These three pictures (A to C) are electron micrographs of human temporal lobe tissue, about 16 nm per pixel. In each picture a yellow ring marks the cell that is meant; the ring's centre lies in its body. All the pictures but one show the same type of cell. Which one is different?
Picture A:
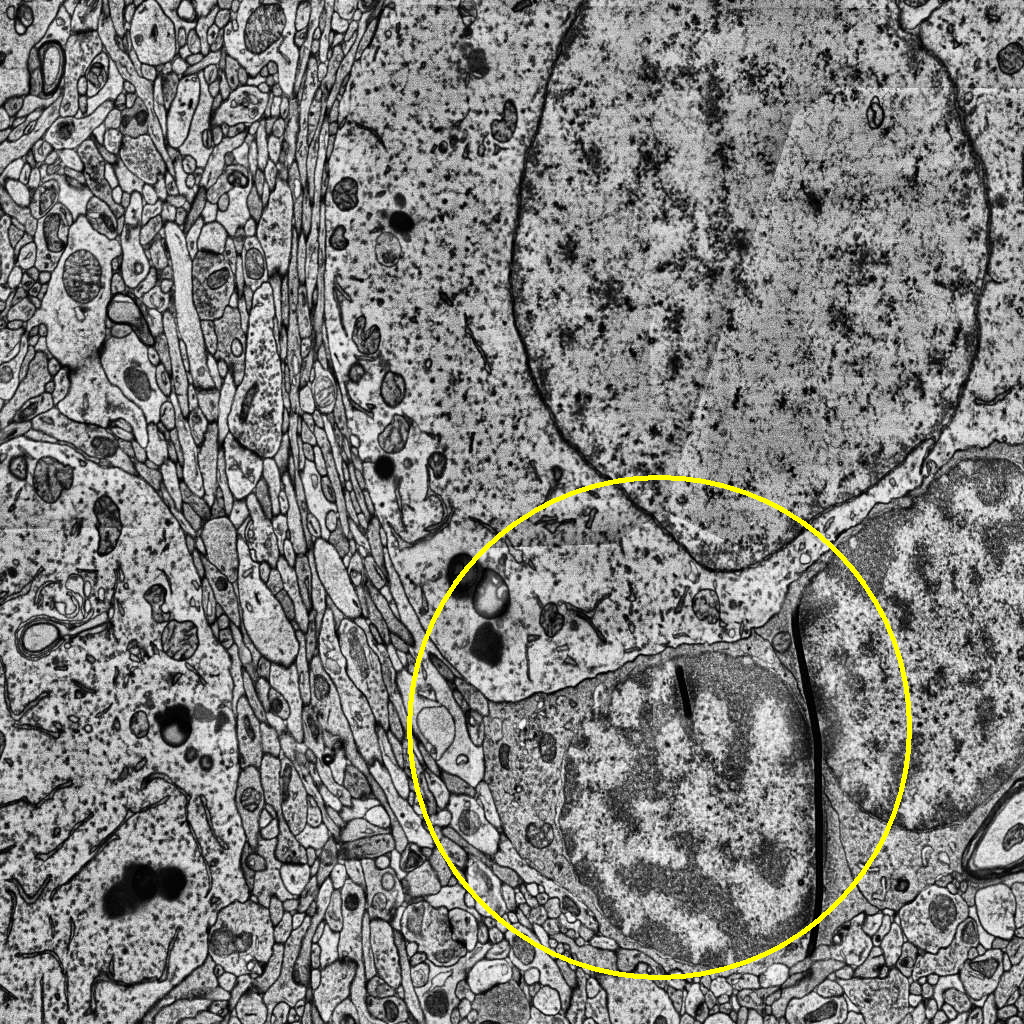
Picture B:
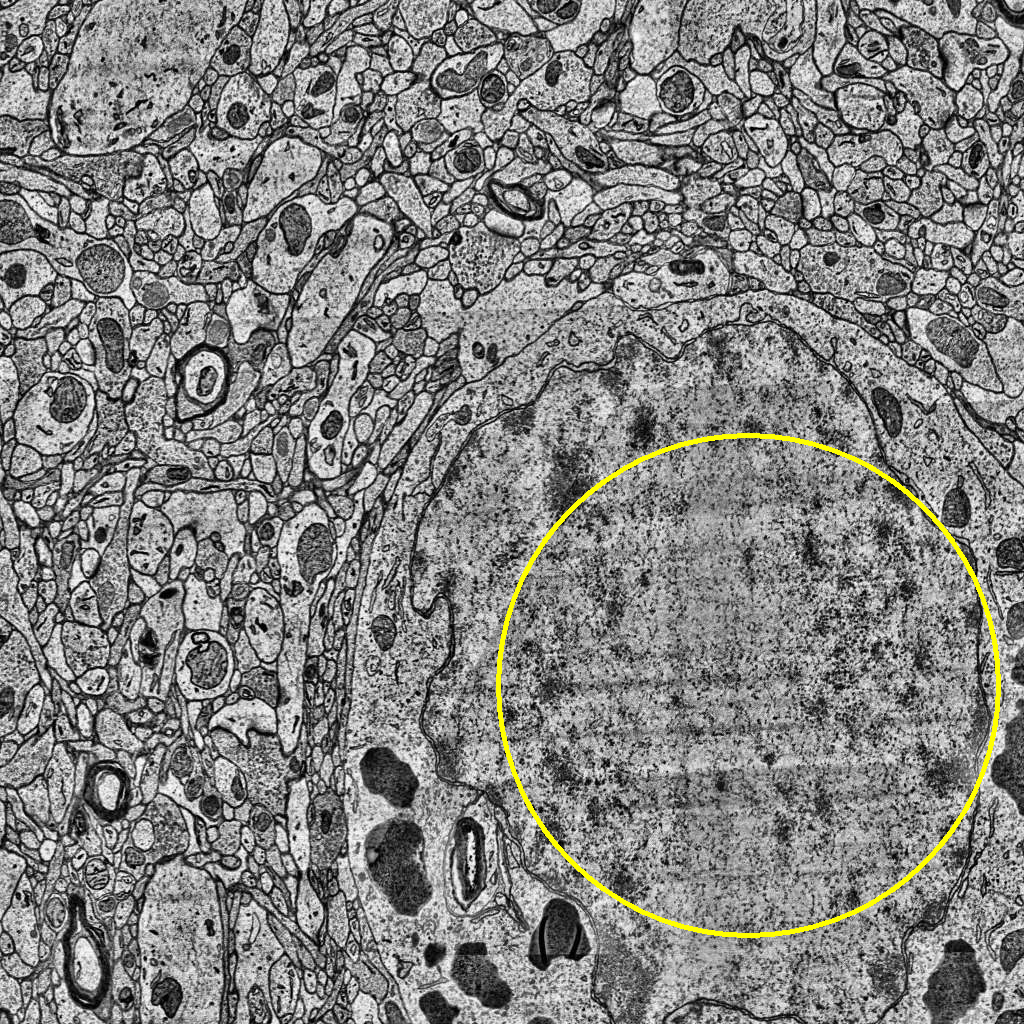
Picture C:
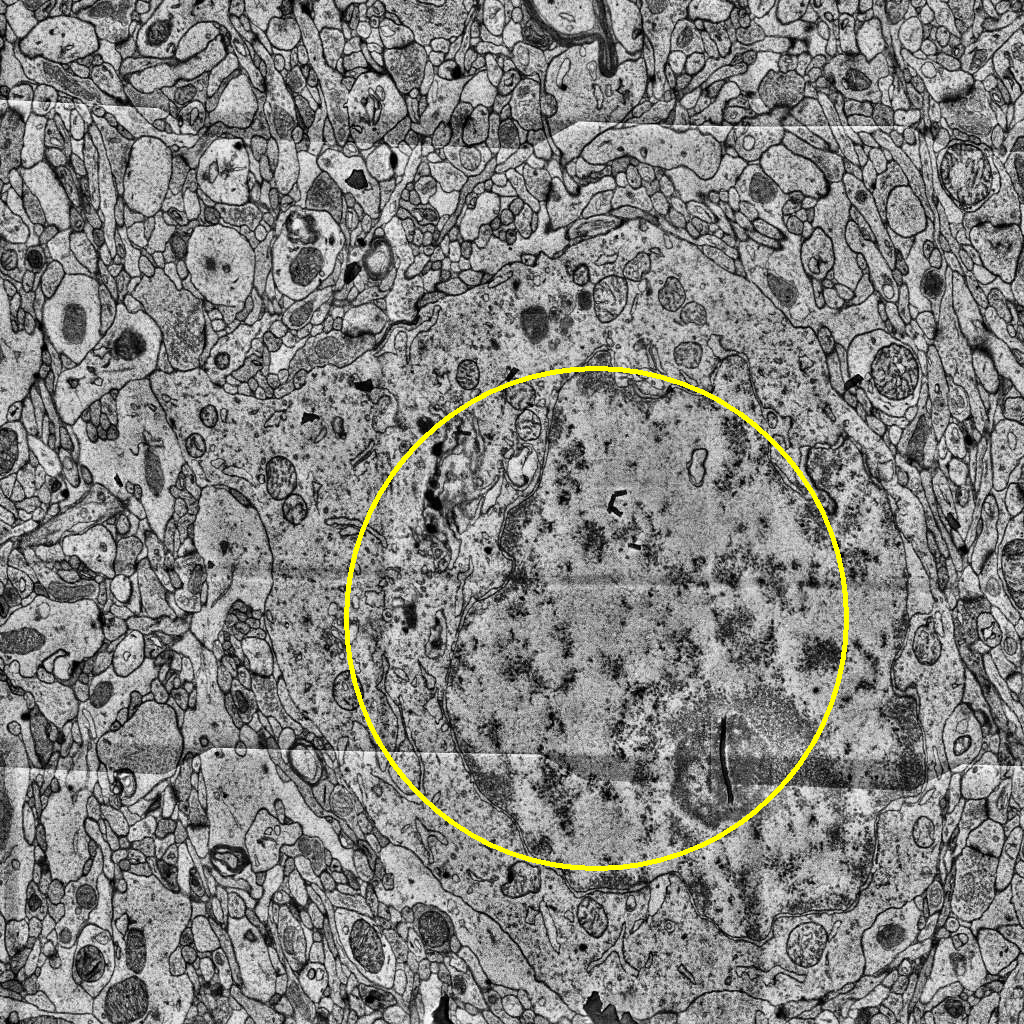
Picture A differs, because its cell is an oligodendrocyte and the rest are interneurons.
